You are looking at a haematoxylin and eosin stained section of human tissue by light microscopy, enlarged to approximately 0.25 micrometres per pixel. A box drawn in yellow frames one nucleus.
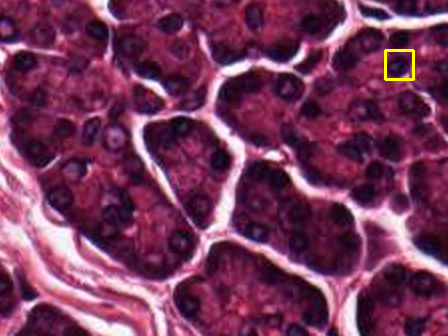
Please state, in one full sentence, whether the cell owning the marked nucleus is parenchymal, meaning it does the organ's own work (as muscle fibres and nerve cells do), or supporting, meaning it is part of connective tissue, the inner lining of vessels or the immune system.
The marked nucleus is contained in a parenchymal cell, namely a pancreatic acinar cell.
